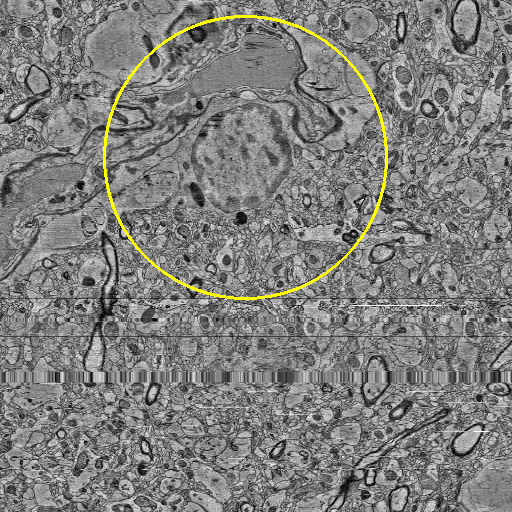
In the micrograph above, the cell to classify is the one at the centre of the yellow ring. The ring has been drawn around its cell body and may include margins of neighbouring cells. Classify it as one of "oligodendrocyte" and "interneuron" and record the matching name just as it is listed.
oligodendrocyte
